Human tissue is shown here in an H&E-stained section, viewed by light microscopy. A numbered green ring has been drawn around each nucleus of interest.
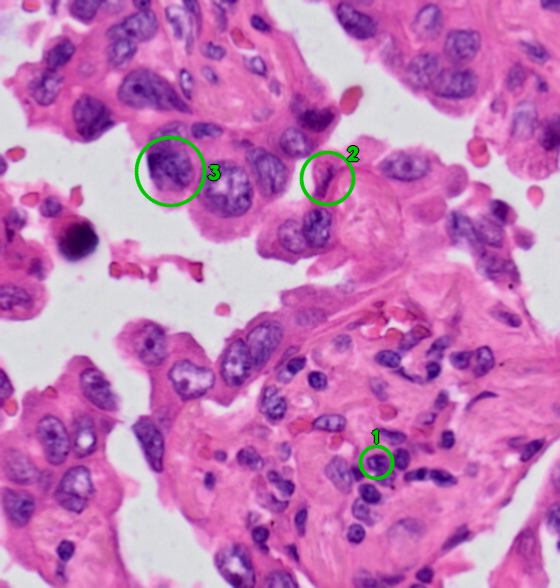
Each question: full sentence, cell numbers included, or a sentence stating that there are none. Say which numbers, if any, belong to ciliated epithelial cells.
None of the cells labelled with numbers belong to the ciliated epithelial cells.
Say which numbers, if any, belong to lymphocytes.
No marked cell except number 1 is a lymphocyte.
